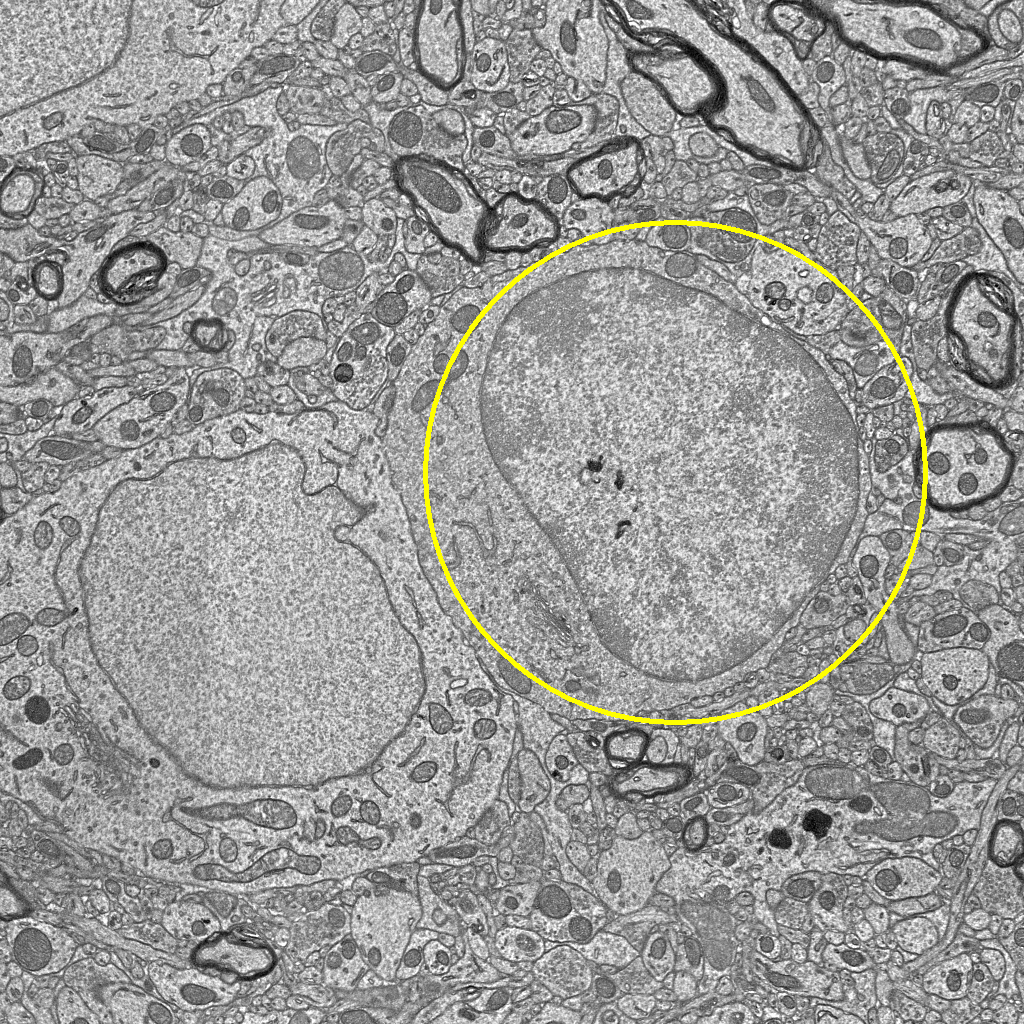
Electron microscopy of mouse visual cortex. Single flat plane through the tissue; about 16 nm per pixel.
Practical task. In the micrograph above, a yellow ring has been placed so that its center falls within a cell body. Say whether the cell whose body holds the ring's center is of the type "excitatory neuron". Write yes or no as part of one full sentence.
No, the cell whose body holds the ring's center above is of another type.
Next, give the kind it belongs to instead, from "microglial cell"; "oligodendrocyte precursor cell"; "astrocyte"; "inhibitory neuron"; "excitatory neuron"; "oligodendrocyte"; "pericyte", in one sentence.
It is an oligodendrocyte at the centre of the ring.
